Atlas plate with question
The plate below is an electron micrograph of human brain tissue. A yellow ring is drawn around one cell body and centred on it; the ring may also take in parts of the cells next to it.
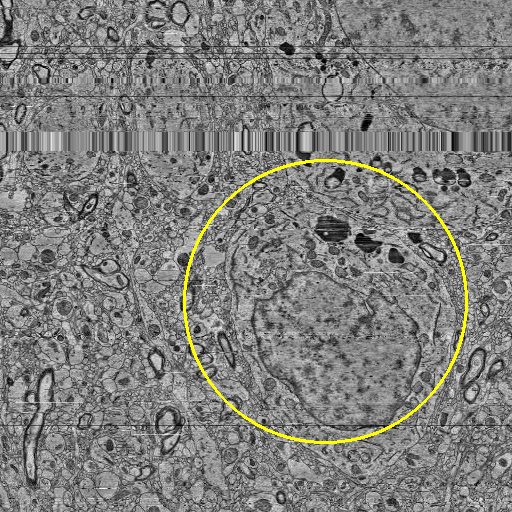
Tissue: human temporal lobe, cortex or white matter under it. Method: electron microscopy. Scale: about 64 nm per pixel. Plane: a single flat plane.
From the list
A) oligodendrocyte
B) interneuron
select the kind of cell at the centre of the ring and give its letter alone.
B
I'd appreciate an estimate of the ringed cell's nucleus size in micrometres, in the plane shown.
Roughly 11 by 10 micrometres in this plane, for the nucleus of the ringed cell.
